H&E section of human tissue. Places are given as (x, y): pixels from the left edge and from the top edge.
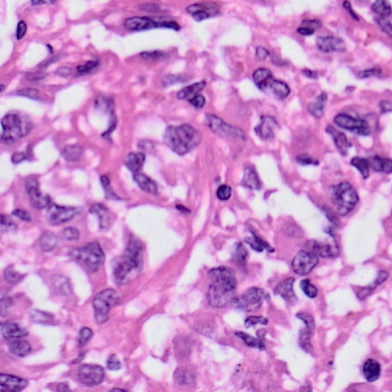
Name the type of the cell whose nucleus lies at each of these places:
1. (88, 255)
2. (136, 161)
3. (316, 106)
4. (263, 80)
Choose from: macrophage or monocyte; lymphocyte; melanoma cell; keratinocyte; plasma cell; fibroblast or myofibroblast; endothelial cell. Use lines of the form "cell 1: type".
cell 1: melanoma cell
cell 2: melanoma cell
cell 3: macrophage or monocyte
cell 4: melanoma cell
